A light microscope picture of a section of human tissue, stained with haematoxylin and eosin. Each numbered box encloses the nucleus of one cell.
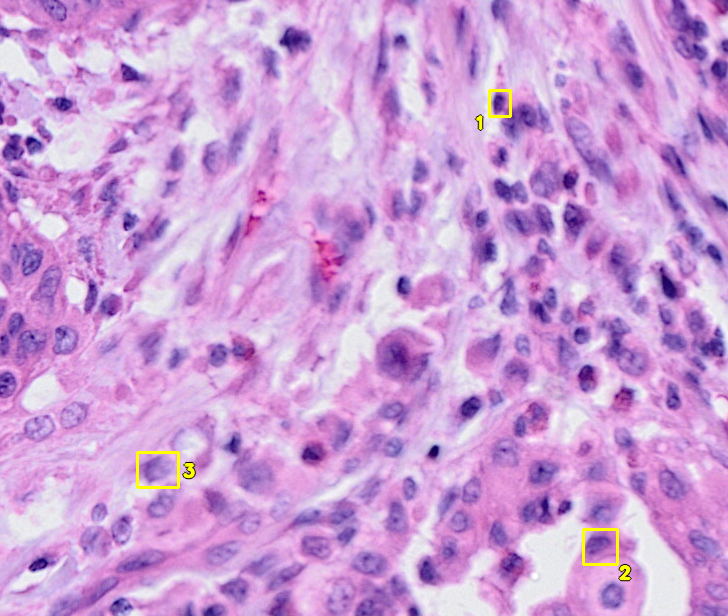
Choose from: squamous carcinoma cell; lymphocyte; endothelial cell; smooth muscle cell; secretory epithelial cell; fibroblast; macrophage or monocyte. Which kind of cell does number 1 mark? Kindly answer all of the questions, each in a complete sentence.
The cell numbered 1 has been identified as a lymphocyte.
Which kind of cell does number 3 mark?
The numbered cell 3 is identified here as a fibroblast.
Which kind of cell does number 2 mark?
The cell indicated with the number 2 is classed as a squamous carcinoma cell.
